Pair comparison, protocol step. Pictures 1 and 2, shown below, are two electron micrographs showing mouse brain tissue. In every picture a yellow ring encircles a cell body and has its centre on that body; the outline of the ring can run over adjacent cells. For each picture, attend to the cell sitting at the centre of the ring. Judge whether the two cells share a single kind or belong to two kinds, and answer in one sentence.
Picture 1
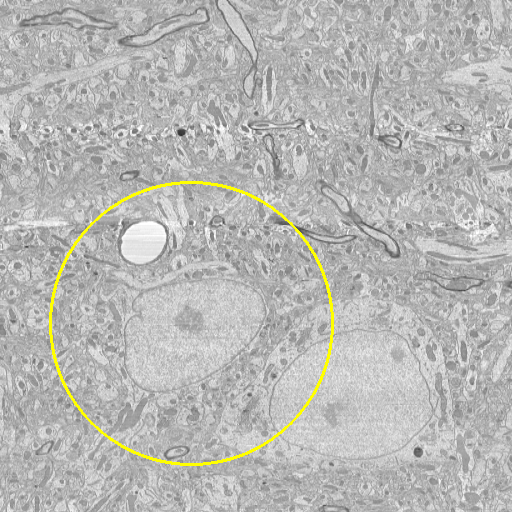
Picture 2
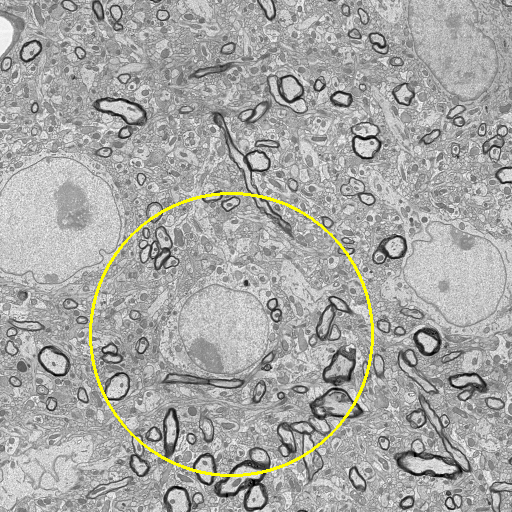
The two cells at the ring centres in Picture 1 and Picture 2 share a single kind.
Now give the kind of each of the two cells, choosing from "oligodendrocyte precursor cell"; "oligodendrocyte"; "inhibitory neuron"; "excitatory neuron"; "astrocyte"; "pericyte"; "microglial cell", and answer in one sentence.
The cell at the ring centre is an astrocyte in both pictures.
